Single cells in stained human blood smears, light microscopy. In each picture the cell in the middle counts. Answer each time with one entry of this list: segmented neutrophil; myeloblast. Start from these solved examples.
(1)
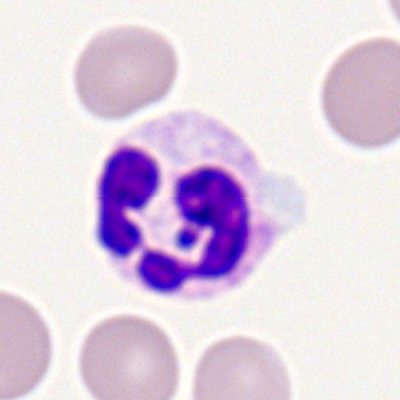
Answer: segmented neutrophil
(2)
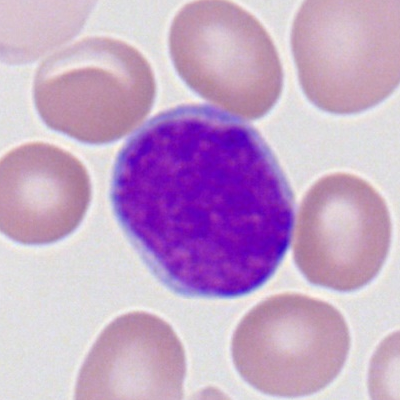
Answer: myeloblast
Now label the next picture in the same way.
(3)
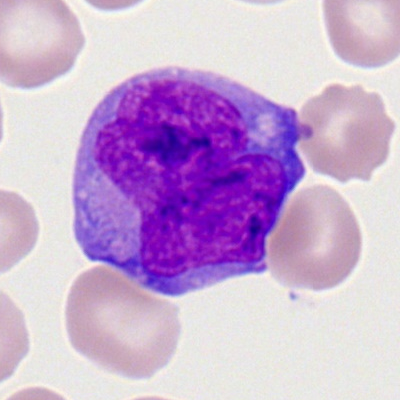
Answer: myeloblast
